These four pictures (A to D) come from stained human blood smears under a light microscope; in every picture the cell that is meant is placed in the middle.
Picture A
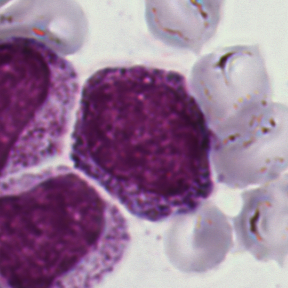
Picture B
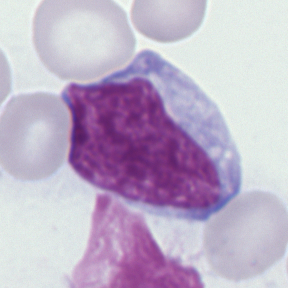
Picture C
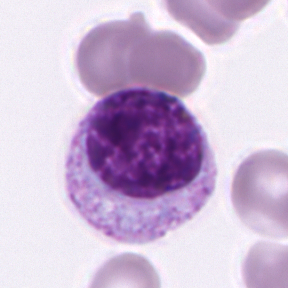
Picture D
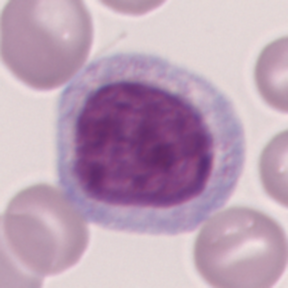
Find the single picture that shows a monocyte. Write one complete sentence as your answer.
Picture B is the one that shows the monocyte.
